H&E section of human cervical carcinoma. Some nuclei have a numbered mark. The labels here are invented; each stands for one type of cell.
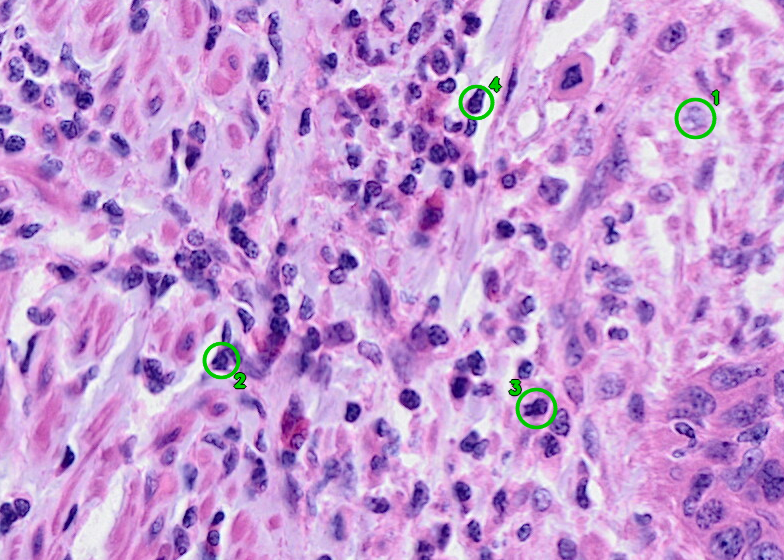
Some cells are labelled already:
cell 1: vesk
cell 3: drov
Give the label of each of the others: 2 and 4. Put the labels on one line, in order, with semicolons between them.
drov; drov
